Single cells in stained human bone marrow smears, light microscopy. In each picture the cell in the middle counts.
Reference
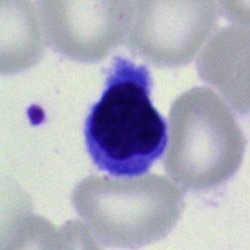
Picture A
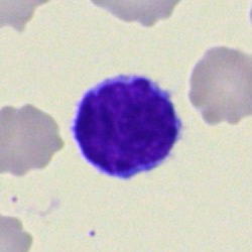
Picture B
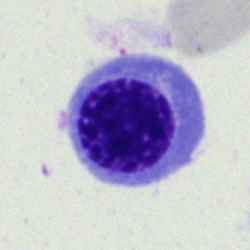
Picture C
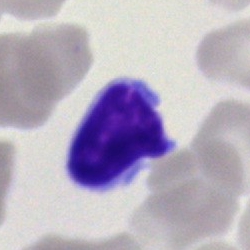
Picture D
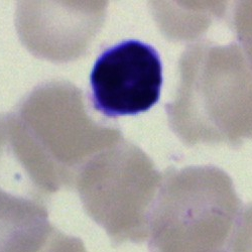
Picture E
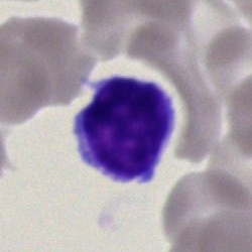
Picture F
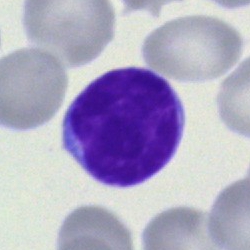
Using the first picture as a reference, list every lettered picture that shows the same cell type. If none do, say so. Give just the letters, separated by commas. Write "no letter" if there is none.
B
